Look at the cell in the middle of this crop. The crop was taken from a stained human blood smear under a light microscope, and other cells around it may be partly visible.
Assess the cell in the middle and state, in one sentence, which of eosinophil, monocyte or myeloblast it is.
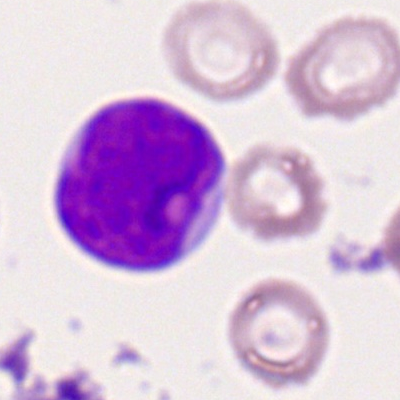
In this crop, the cell at the very middle is a myeloblast.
